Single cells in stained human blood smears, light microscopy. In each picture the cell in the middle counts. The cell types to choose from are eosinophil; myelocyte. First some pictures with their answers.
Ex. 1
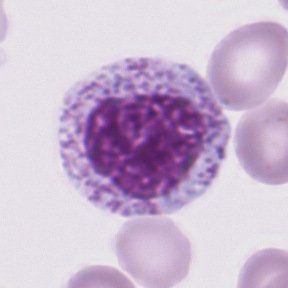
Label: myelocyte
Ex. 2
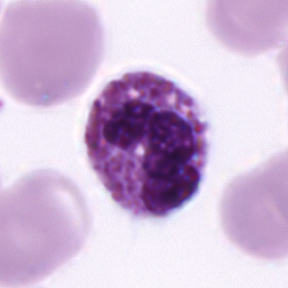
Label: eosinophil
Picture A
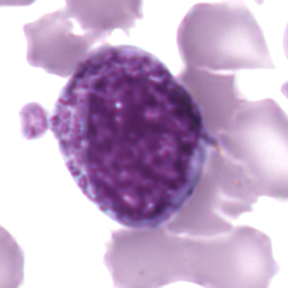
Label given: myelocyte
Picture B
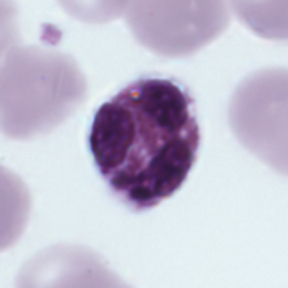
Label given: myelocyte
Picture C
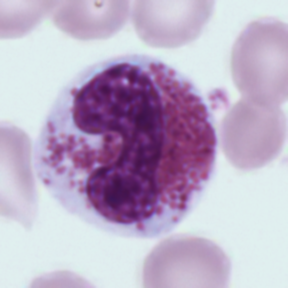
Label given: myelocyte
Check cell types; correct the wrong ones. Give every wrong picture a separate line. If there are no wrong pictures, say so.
Wrong: B (myelocyte); correct: eosinophil
Wrong: C (myelocyte); correct: eosinophil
